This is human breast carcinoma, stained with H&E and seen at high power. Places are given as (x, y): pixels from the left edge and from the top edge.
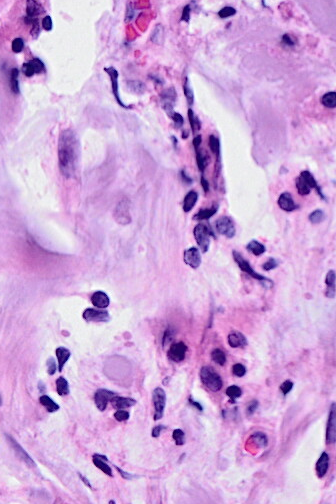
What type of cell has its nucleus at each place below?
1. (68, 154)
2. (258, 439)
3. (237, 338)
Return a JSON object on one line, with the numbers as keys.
{"1": "fibroblast", "2": "endothelial cell", "3": "lymphocyte"}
